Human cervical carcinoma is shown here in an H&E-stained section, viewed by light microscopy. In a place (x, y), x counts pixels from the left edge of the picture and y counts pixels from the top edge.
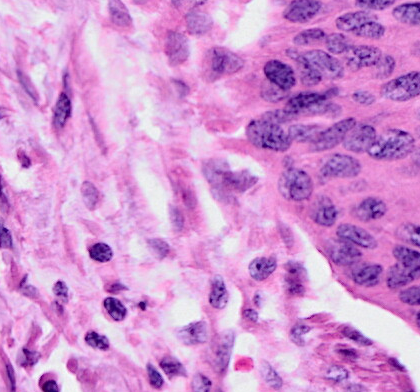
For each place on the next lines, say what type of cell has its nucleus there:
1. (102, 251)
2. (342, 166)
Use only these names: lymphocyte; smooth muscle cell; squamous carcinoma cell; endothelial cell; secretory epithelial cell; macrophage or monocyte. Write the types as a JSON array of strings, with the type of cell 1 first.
["lymphocyte", "squamous carcinoma cell"]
